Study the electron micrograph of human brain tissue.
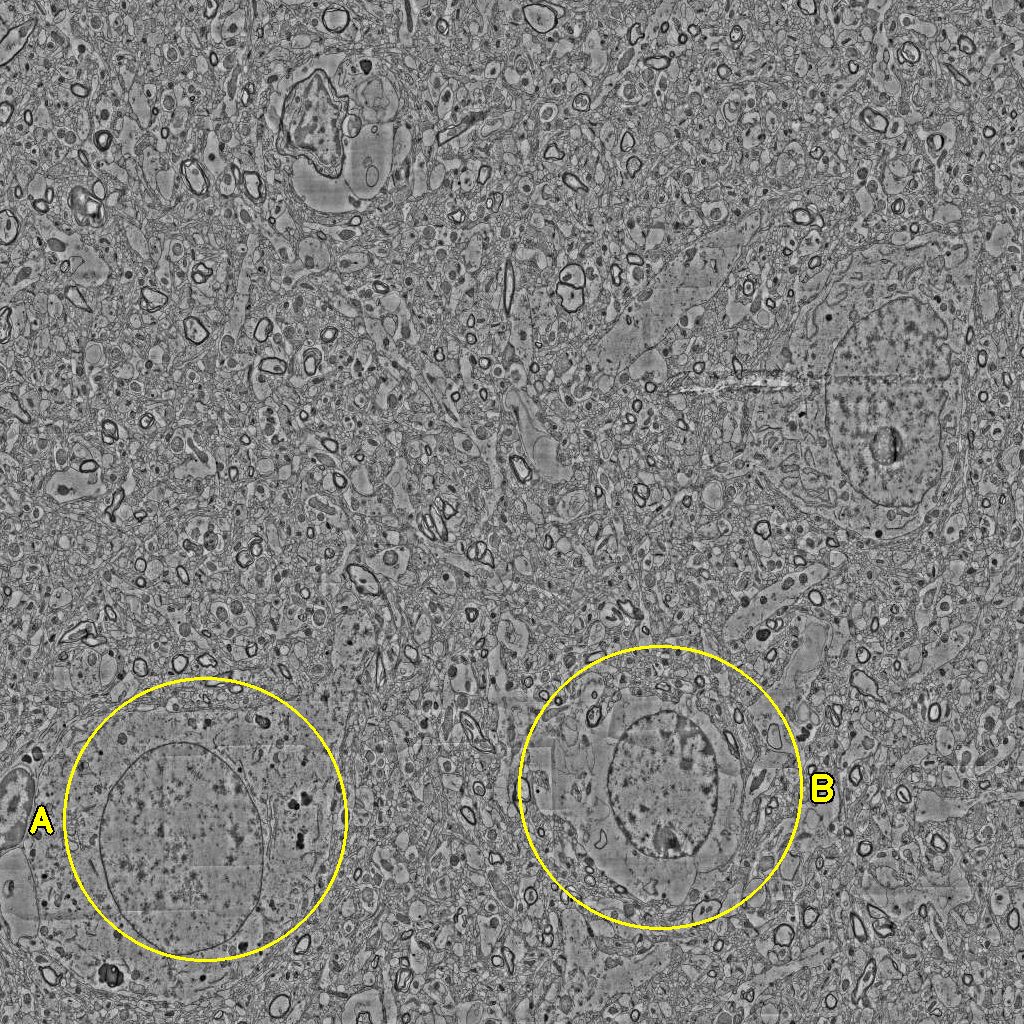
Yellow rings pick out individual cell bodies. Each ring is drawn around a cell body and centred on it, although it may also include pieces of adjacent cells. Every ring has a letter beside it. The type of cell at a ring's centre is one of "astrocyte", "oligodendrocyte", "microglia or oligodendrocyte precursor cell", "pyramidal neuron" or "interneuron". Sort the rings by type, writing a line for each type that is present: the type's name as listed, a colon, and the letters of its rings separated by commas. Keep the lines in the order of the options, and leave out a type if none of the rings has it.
astrocyte: B
pyramidal neuron: A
